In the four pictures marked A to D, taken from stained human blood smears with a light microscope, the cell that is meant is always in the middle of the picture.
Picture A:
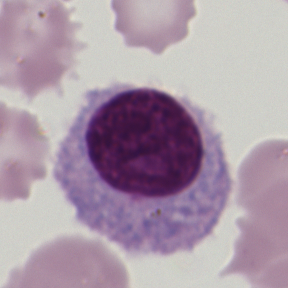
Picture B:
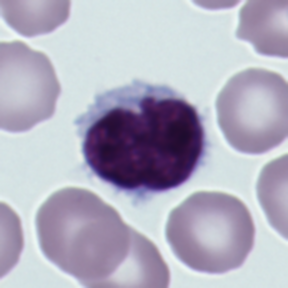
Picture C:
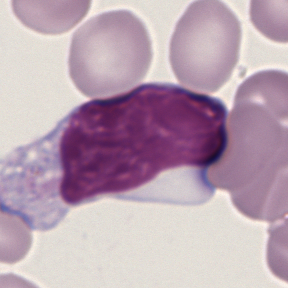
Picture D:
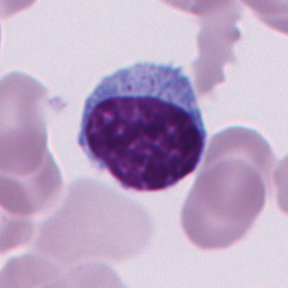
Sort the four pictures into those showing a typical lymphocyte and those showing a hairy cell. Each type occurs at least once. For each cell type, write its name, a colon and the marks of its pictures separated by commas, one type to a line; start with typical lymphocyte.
typical lymphocyte: C, D
hairy cell: A, B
